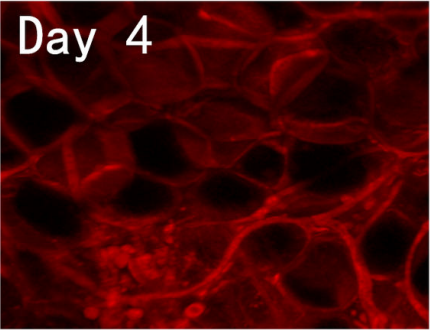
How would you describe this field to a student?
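Fat tissue viewed as a whole mount, with large rounded fat cells whose dark interiors are framed by thin red rims. The cells vary in size and are less regularly packed than a neat honeycomb.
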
